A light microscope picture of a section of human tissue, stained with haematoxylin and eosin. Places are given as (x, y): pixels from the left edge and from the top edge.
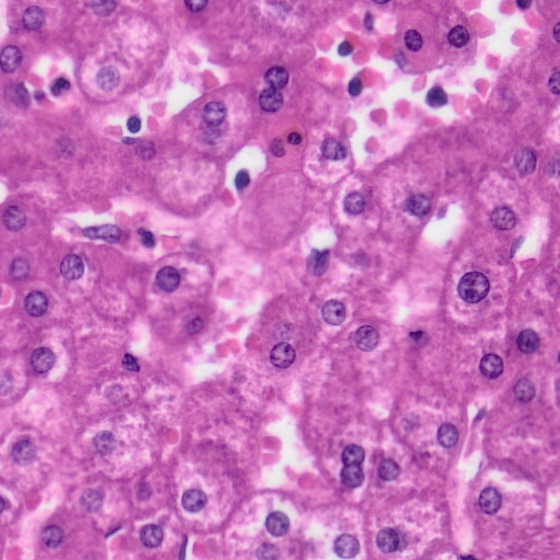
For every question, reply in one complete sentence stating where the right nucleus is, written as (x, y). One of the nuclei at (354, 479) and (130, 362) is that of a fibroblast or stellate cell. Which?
Between the two nuclei, the one sitting at (130, 362) belongs to a fibroblast or stellate cell.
